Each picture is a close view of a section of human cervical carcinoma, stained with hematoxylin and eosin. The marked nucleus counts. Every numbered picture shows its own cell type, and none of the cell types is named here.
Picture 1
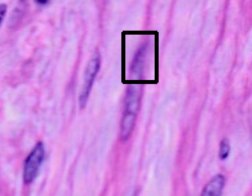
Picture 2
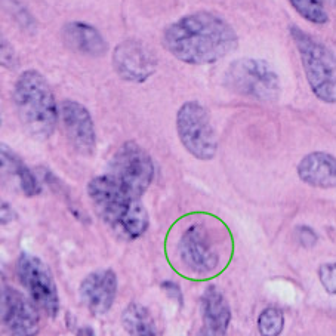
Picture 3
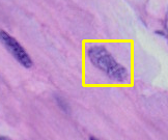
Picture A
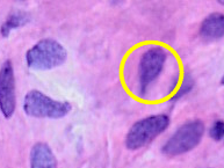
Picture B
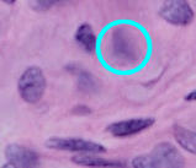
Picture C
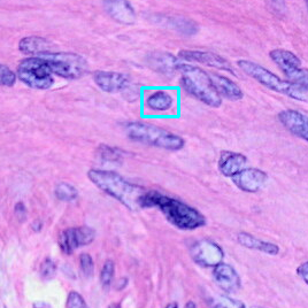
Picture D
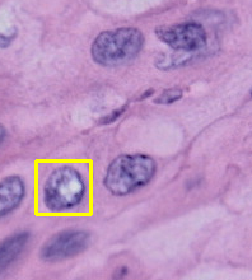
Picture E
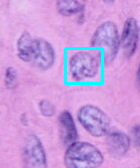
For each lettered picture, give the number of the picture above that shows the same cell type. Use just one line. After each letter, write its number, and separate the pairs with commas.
A 3, B 3, C 1, D 2, E 2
